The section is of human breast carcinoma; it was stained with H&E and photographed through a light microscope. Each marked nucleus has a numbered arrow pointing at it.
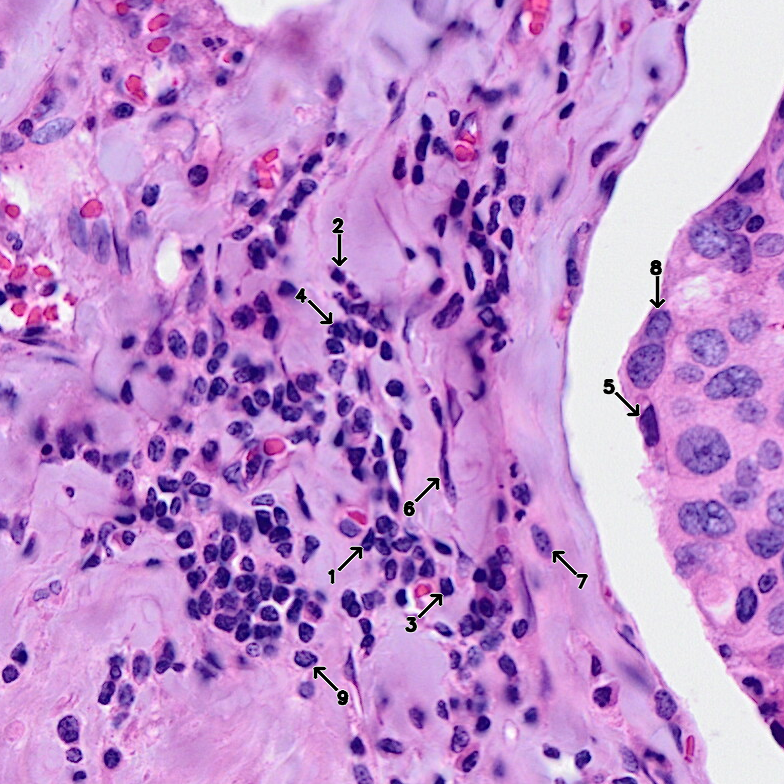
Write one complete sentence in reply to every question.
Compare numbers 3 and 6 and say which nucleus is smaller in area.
Number 3 is smaller, since number 6 takes up about 2 times as much area.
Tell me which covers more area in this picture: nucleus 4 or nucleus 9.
Number 9 is larger; its area is about 1.5 times that of number 4.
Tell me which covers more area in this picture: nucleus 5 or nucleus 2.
The larger nucleus is 5, at roughly 3 times the area of 2.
